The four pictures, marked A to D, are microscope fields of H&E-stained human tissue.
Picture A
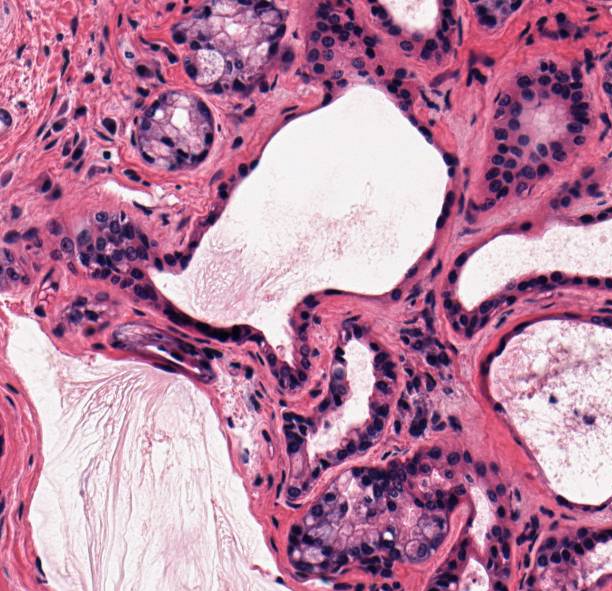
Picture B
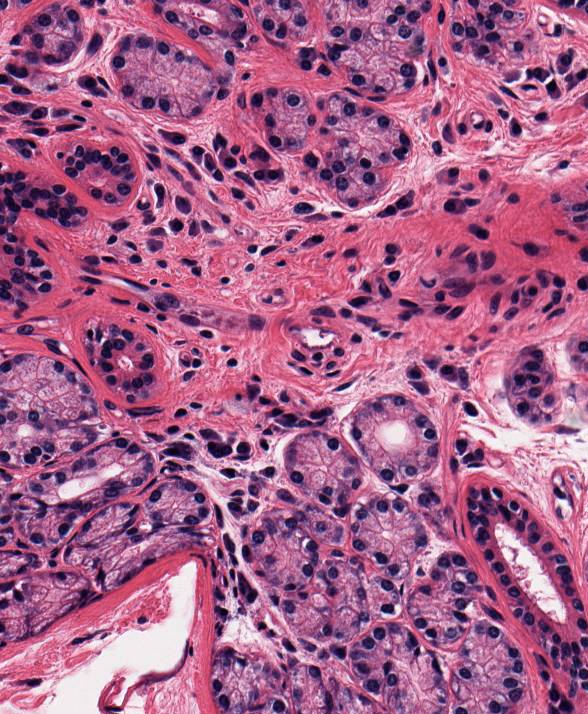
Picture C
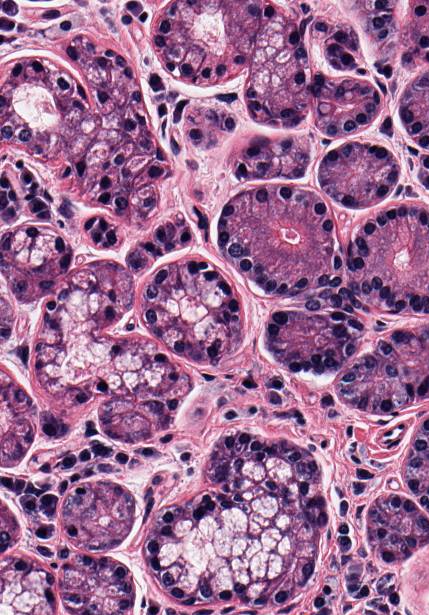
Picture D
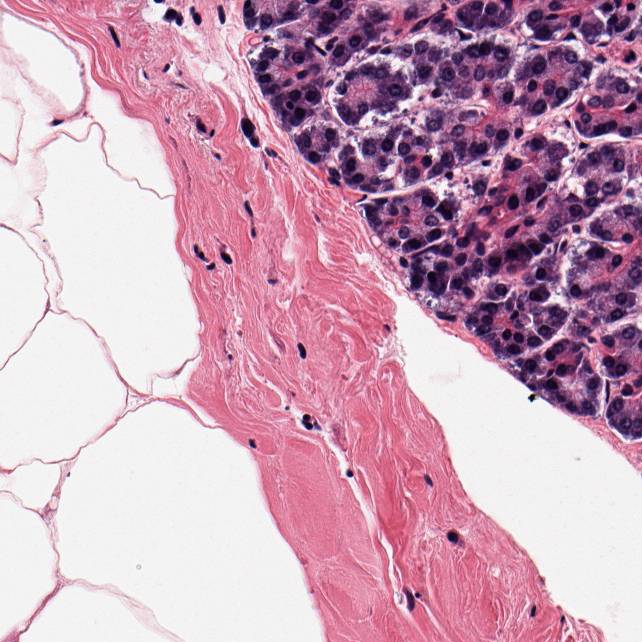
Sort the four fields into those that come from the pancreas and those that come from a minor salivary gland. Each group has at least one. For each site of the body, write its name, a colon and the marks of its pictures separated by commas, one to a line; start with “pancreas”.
pancreas: D
minor salivary gland: A, B, C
